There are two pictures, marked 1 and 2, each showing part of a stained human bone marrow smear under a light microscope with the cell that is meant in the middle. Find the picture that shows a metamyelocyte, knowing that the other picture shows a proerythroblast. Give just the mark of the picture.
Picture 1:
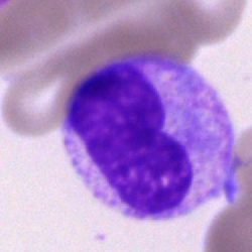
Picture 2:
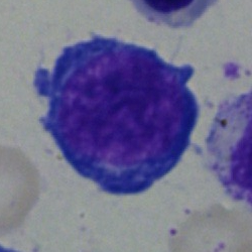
1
